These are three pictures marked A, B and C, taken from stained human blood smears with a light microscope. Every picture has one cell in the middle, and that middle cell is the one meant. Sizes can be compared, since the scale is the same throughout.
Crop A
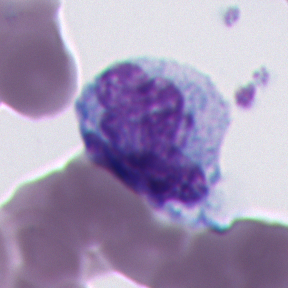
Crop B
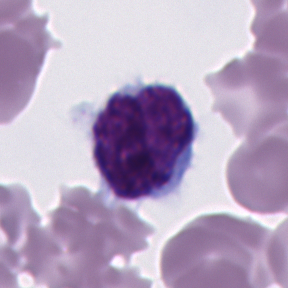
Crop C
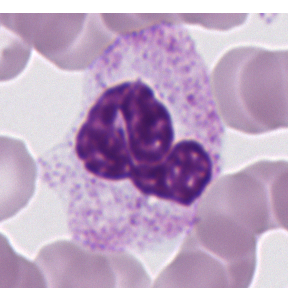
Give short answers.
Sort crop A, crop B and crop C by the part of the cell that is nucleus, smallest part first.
C, A, B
